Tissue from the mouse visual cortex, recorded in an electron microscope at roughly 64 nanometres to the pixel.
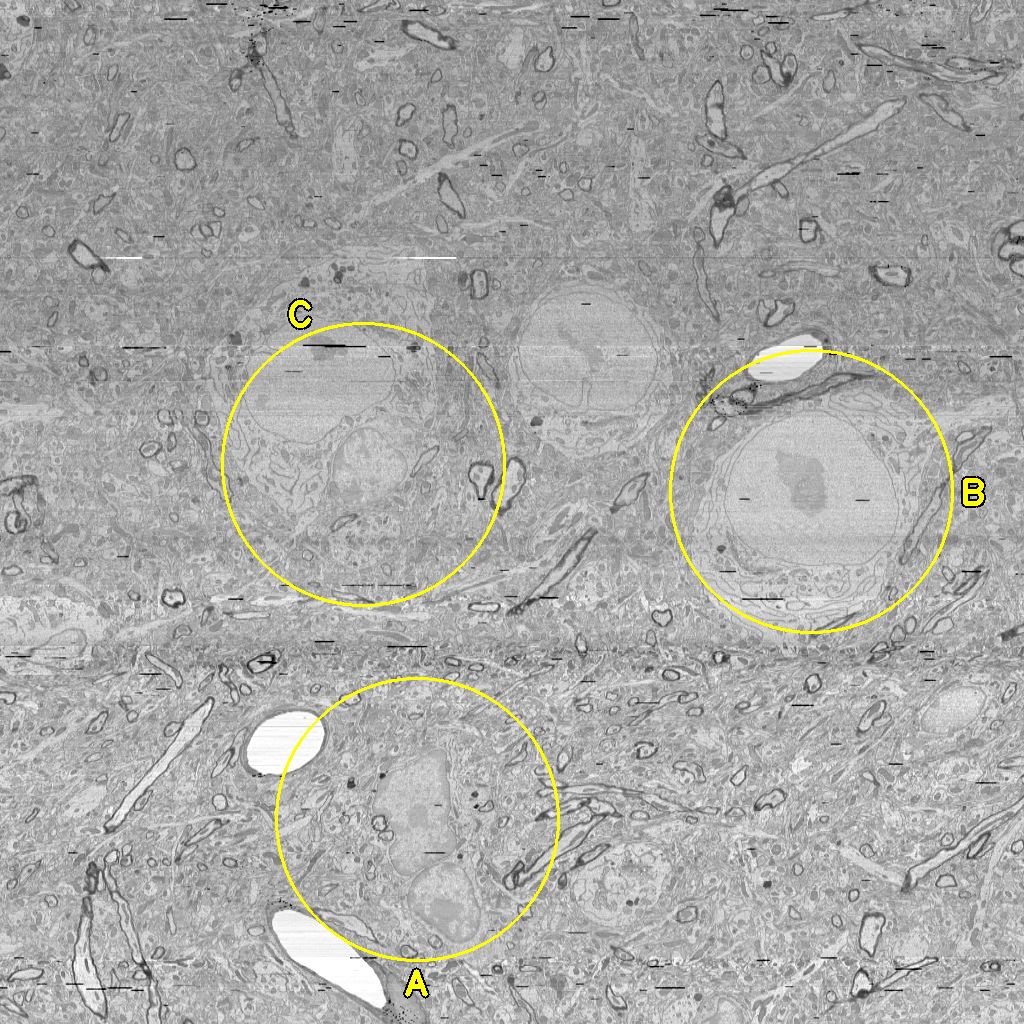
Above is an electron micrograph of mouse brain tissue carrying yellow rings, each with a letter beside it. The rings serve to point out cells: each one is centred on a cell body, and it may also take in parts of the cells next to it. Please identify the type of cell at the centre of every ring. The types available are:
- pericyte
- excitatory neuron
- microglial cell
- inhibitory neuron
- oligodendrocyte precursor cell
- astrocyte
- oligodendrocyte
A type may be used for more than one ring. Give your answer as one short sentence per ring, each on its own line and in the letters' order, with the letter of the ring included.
Ring A points to the cell body of a microglial cell.
Ring B points to the cell body of an excitatory neuron.
Ring C points to the cell body of an oligodendrocyte.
